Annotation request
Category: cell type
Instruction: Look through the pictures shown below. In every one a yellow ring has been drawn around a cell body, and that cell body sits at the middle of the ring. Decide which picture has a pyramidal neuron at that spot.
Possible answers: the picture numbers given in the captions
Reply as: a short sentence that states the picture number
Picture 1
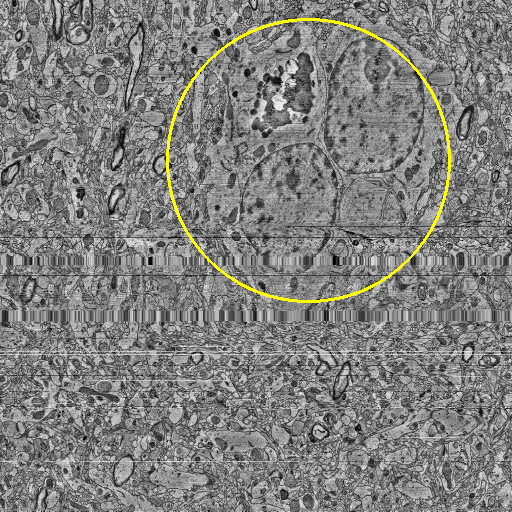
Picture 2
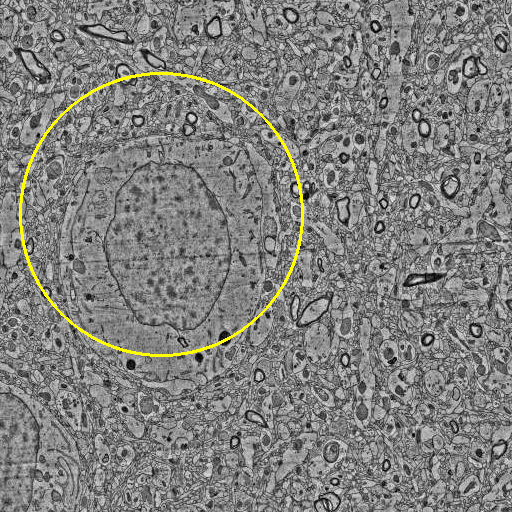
It is in Picture 2.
